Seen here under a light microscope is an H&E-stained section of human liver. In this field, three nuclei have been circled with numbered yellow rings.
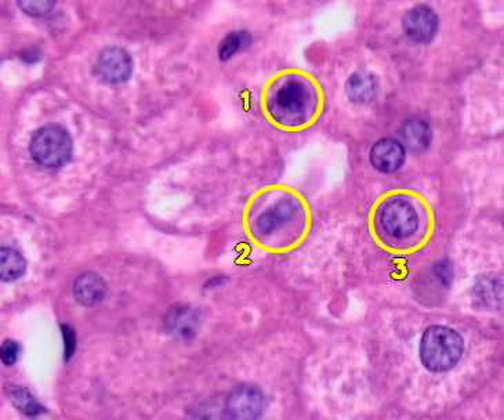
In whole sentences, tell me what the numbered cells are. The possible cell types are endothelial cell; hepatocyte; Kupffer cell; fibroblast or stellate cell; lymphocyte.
Cell 1 is a fibroblast or stellate cell, cell 2 is a Kupffer cell and cell 3 is a hepatocyte.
